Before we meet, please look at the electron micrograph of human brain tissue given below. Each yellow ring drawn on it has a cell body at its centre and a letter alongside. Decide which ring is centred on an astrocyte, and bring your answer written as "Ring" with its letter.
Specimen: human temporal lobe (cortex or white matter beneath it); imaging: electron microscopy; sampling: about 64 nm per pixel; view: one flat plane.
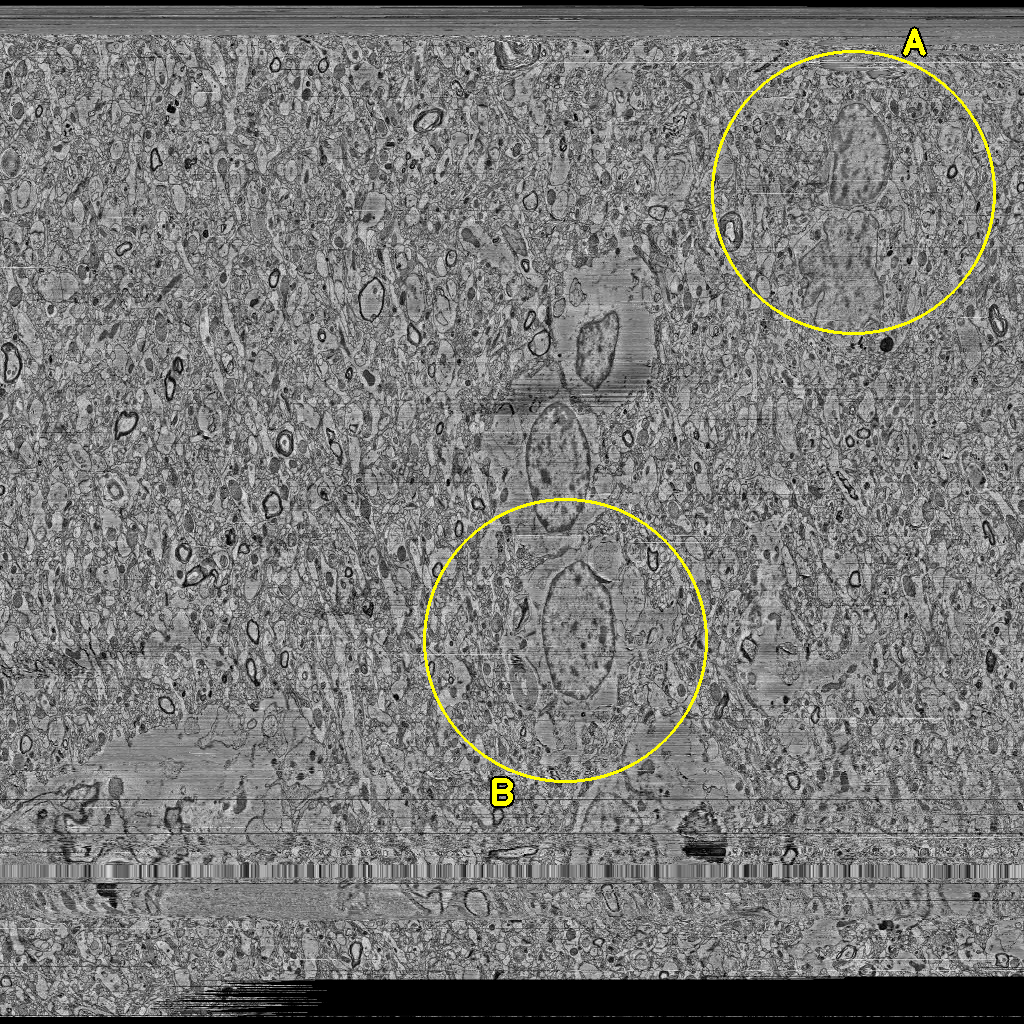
Ring B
